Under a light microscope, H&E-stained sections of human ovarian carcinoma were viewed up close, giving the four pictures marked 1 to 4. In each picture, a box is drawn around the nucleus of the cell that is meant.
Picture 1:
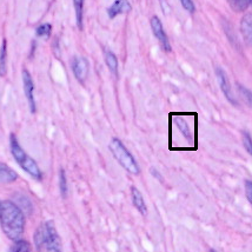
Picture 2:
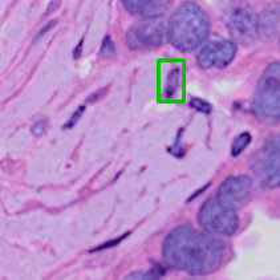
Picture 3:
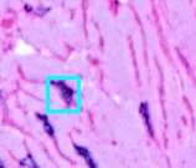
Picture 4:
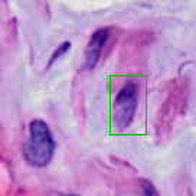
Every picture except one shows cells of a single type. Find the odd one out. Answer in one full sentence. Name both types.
All pictures except 4 show fibroblasts; picture 4 shows a smooth muscle cell.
